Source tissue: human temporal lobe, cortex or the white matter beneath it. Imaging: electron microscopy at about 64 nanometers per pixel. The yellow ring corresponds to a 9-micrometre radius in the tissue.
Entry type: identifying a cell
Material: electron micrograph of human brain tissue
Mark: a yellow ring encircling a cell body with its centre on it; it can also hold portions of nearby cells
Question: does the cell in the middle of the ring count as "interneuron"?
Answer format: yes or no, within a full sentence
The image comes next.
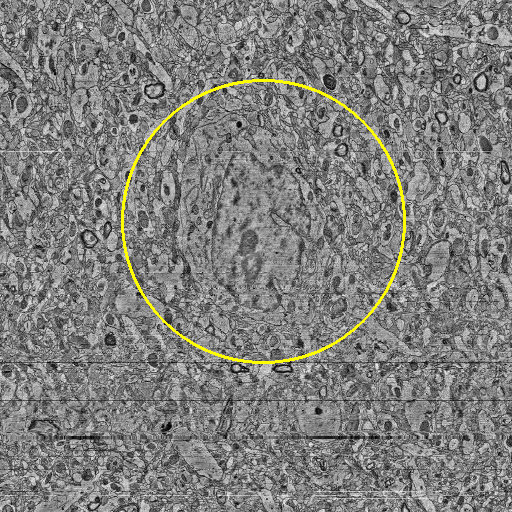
Yes, in the image, the cell in the middle of the yellow ring counts as the queried kind.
